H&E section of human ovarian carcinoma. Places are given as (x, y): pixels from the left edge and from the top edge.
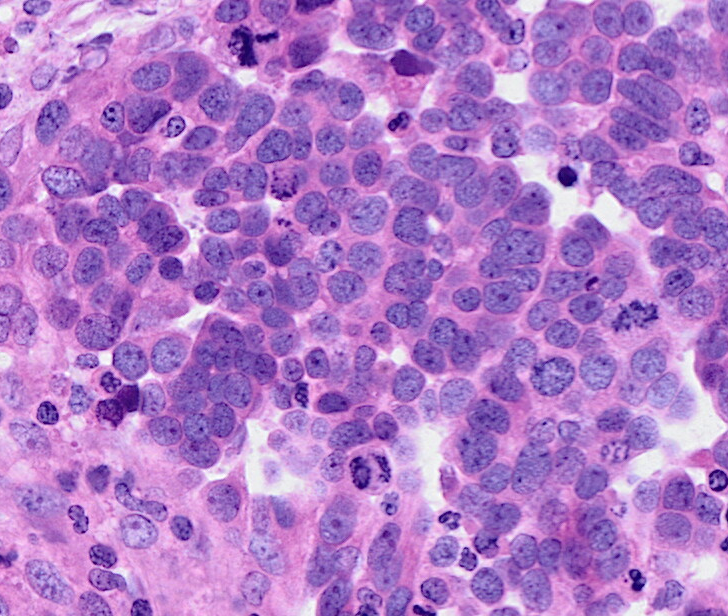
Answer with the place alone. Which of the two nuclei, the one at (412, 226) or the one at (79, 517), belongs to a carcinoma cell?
(412, 226)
